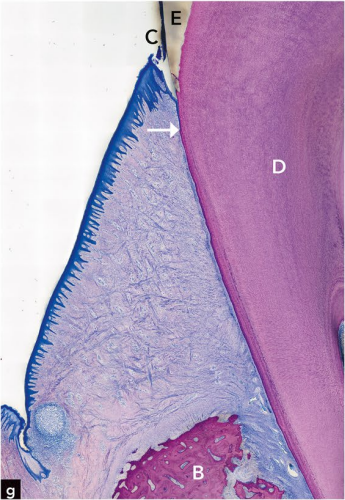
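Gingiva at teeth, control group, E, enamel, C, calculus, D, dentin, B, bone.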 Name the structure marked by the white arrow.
Apical end of the junctional epithelium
